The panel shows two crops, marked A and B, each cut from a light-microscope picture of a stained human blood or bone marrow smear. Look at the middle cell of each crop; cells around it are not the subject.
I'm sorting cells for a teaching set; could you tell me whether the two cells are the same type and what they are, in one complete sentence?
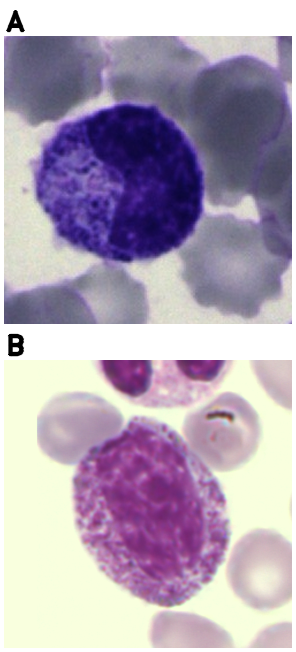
Yes, it is metamyelocytes that both crops show.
